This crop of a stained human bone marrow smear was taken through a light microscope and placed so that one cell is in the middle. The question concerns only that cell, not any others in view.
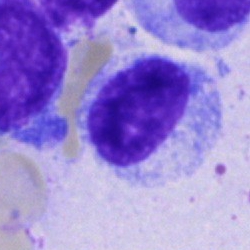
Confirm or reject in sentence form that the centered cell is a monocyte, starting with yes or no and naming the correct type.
No, the label for the central cell is a myelocyte, not a monocyte.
